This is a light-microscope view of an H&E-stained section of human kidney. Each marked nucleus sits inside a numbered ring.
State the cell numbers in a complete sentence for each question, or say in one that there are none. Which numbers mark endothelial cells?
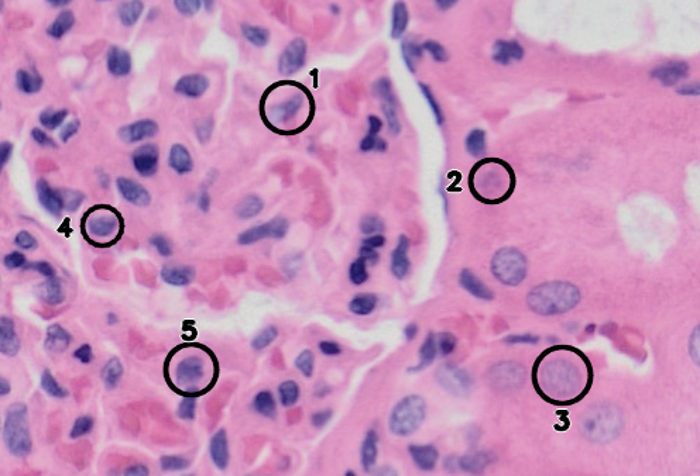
The cells marked by the numbers 1, 4 and 5 are endothelial cells.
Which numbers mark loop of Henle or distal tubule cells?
Among the numbered cells, there are no loop of Henle or distal tubule cells.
